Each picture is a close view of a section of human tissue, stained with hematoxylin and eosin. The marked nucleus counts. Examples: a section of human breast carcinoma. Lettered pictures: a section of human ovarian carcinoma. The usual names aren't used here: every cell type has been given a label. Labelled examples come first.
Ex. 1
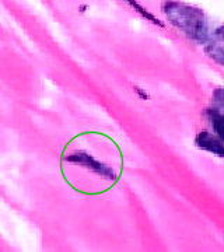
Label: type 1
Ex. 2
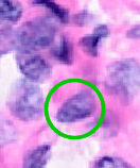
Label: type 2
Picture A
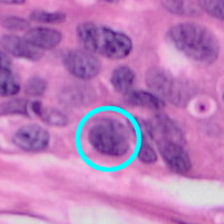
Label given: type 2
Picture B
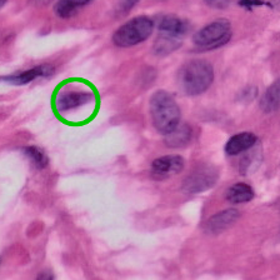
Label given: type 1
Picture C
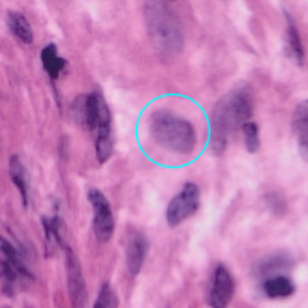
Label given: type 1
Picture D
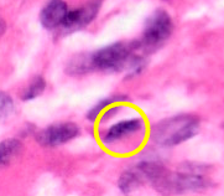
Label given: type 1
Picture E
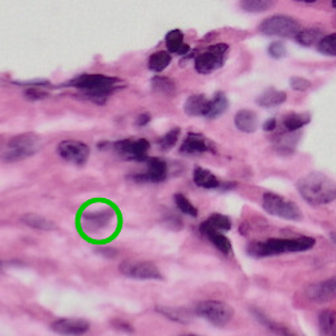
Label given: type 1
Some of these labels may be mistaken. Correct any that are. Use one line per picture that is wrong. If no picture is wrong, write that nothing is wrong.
All labels are correct.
